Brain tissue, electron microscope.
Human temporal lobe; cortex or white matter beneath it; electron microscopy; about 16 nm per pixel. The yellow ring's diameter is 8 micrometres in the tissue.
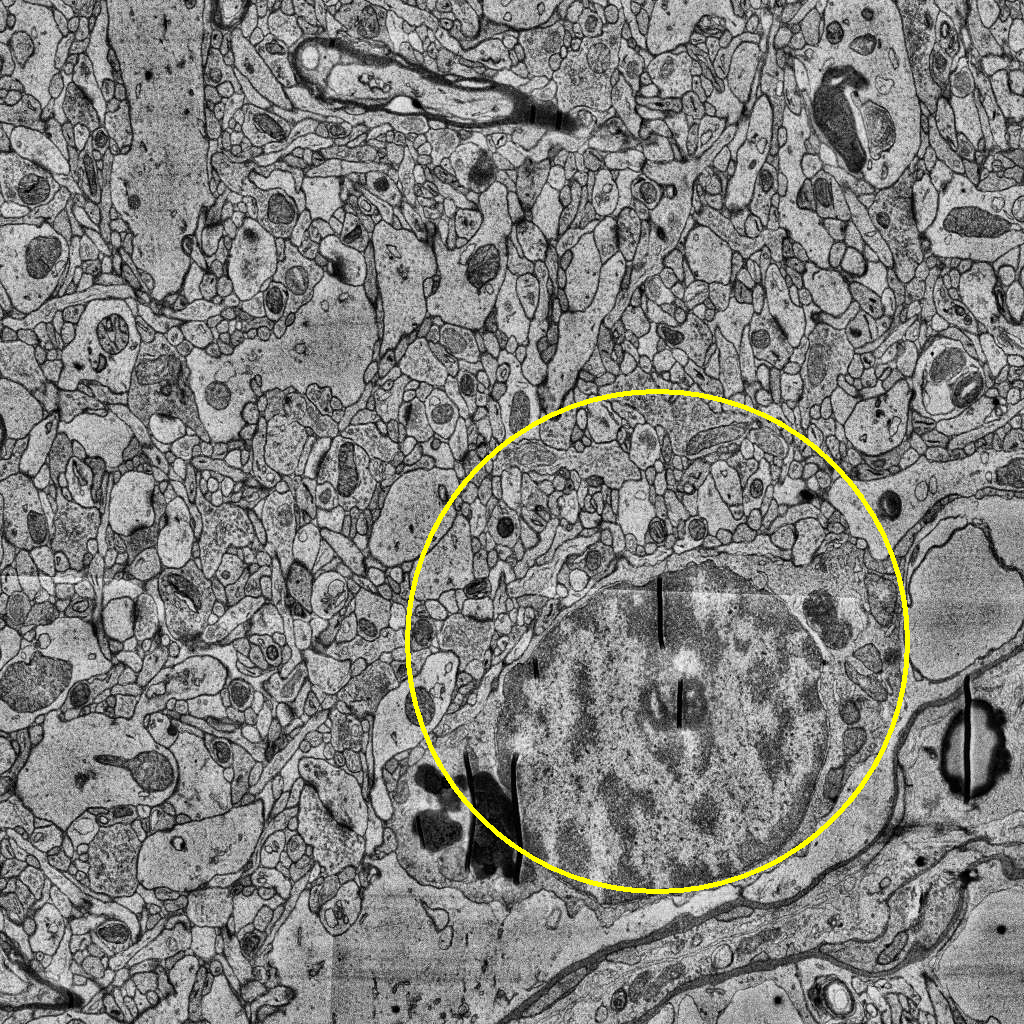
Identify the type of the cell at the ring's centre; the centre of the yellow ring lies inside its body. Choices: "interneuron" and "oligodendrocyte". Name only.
oligodendrocyte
